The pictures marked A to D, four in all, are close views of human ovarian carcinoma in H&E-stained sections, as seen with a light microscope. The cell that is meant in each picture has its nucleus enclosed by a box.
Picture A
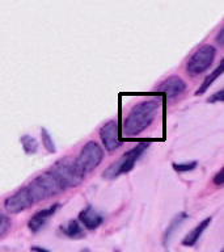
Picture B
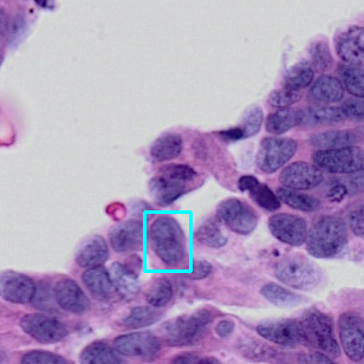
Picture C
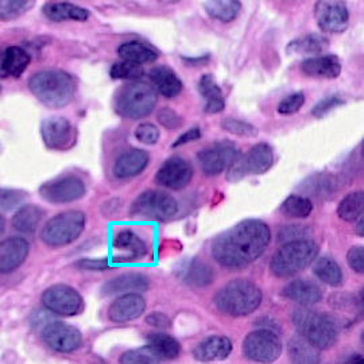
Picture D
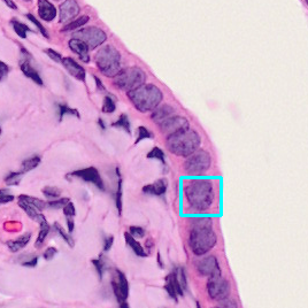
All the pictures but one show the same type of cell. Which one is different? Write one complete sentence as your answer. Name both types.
All pictures except C show carcinoma cells; picture C shows a “macrophage or monocyte”.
